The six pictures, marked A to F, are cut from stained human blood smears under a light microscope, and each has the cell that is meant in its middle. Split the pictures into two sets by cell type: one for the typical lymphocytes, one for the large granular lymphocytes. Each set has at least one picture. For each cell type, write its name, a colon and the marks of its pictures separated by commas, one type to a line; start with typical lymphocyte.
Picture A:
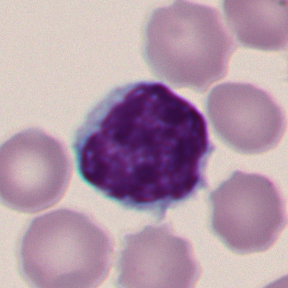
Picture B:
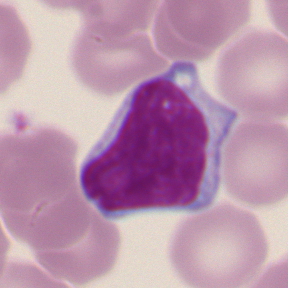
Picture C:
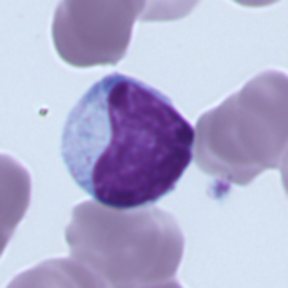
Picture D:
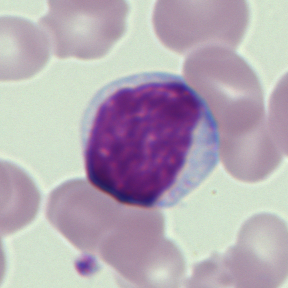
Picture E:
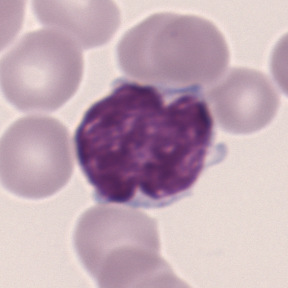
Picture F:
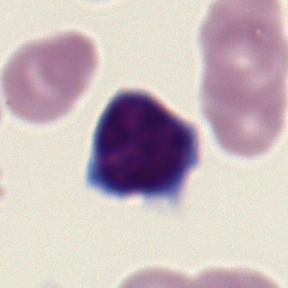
typical lymphocyte: A, B, C, F
large granular lymphocyte: D, E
